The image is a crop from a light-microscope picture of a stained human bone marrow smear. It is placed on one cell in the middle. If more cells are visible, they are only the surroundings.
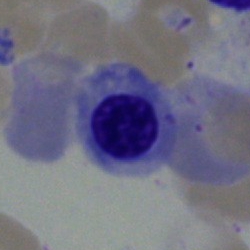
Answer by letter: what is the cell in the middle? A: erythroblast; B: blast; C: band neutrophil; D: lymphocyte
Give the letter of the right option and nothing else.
A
